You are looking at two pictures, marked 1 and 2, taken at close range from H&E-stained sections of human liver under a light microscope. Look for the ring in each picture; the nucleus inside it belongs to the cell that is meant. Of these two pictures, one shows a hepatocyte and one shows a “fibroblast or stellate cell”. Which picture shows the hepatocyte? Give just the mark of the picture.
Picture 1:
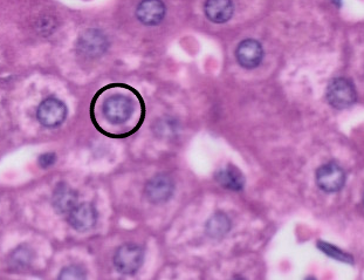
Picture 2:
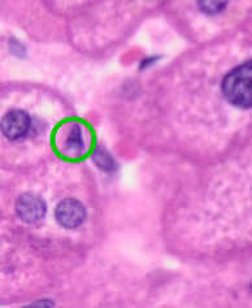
1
